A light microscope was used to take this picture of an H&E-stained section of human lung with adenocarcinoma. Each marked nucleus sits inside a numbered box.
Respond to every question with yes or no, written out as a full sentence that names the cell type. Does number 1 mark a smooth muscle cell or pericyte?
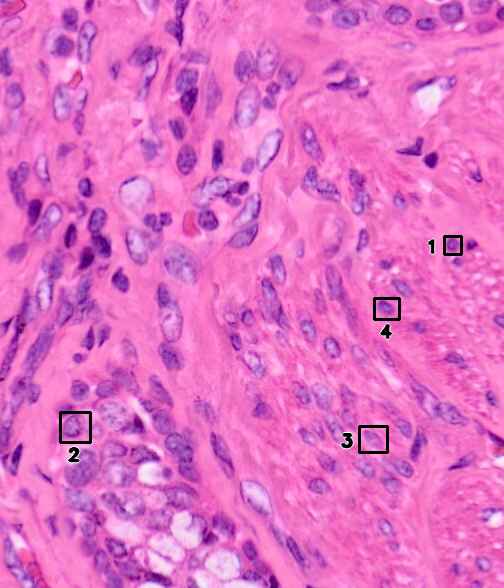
Yes, the cell to which number 1 refers is a smooth muscle cell or pericyte.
